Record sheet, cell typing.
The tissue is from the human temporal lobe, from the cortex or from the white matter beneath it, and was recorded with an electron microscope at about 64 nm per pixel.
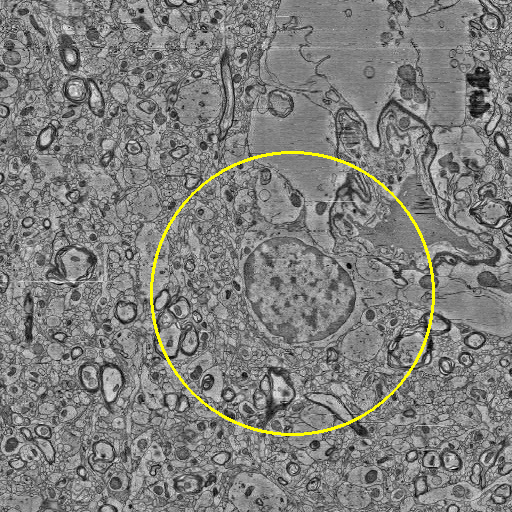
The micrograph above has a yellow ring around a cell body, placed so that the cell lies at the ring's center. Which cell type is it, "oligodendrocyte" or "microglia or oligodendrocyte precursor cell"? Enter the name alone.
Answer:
microglia or oligodendrocyte precursor cell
